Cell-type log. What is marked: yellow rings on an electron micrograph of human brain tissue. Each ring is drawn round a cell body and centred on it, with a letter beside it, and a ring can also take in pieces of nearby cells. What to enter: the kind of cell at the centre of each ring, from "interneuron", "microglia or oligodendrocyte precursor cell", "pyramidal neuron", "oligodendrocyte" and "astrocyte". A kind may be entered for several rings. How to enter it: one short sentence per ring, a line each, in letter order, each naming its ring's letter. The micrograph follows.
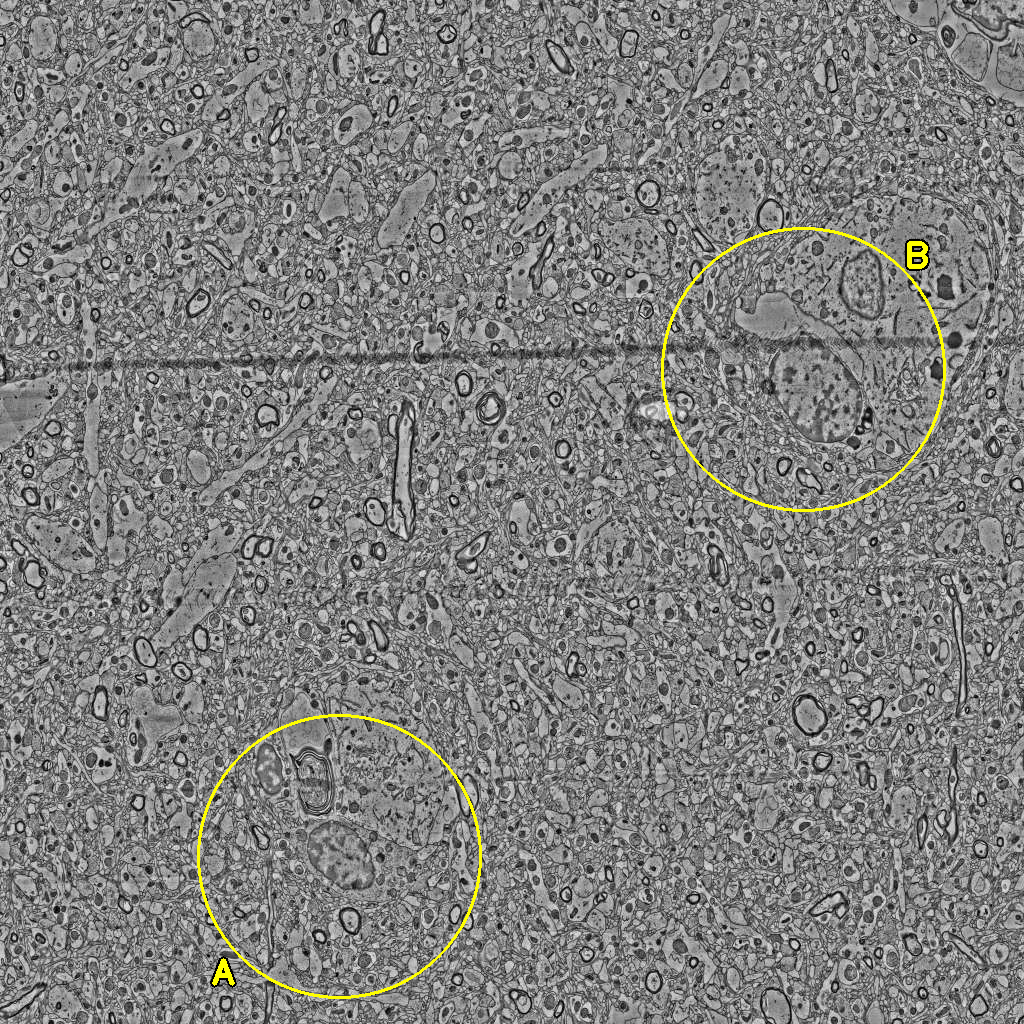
For ring A, the centre cell is an oligodendrocyte.
For ring B, the centre cell is a microglial cell or oligodendrocyte precursor cell.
